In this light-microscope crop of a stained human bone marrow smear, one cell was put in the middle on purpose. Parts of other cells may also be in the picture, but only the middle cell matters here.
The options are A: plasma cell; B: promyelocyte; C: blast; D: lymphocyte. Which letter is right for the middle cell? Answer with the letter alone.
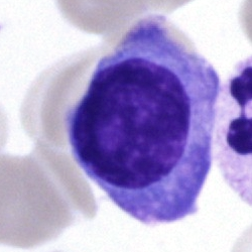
A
